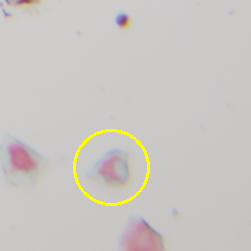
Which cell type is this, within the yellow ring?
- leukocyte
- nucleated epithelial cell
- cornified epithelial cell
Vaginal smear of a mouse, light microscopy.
Within the ring is a nucleated epithelial cell.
